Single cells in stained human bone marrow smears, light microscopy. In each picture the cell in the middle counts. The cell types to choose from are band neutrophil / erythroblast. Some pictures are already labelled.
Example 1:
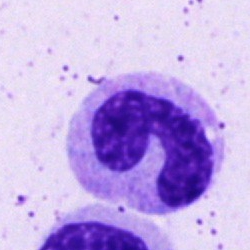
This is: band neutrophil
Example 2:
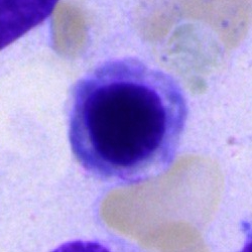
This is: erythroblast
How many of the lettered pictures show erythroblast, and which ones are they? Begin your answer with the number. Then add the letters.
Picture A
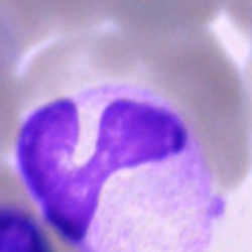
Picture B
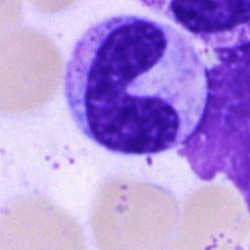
0, none of them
